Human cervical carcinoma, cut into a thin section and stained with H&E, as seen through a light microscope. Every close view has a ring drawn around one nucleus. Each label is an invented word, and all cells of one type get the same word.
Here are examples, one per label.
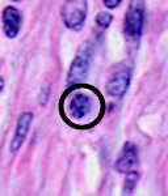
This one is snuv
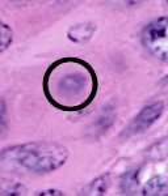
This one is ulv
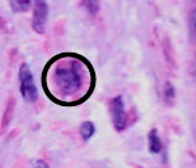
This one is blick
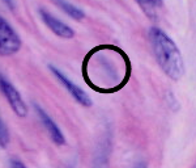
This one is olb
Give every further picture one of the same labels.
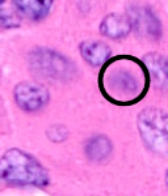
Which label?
ulv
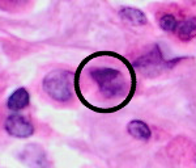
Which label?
blick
